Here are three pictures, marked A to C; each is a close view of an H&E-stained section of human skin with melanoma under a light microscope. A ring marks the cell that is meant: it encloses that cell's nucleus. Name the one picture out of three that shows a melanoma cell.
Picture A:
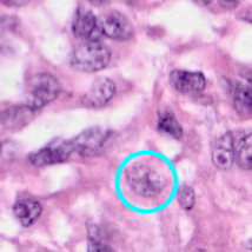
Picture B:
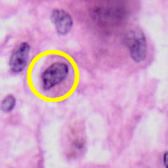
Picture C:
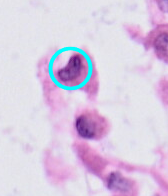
A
